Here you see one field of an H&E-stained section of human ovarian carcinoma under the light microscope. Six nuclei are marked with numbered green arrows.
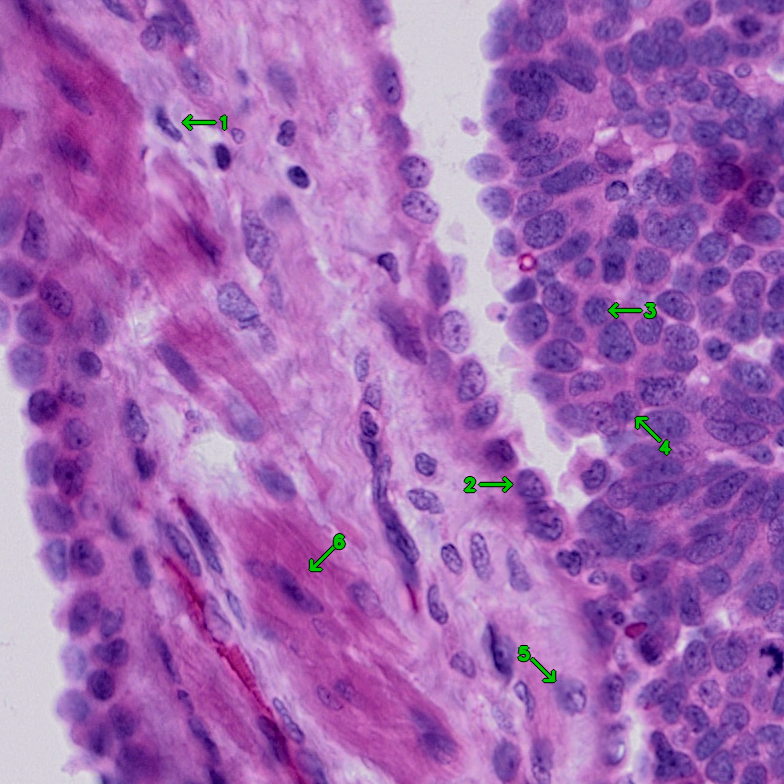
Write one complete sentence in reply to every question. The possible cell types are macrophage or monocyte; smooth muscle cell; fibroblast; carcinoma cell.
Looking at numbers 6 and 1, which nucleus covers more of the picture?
Number 6 is larger; its area is about 2 times that of number 1.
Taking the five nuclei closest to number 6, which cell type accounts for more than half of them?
Around number 6, most of the five nearest nuclei are those of smooth muscle cells.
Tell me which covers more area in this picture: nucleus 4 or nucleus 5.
Nucleus 5 is larger, with an area about 1.5 times that of nucleus 4.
